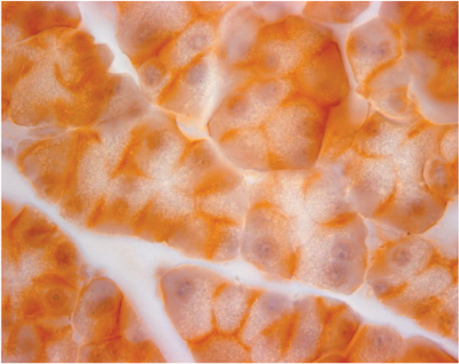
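Pancreatic acinar cells are grouped in rounded clusters separated by thin pale strands of connective tissue. The pyramidal cells have round nuclei with visible nucleoli and finely granular cytoplasm, and a brown stain outlines their basal and lateral borders while the cell interiors stay pale.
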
